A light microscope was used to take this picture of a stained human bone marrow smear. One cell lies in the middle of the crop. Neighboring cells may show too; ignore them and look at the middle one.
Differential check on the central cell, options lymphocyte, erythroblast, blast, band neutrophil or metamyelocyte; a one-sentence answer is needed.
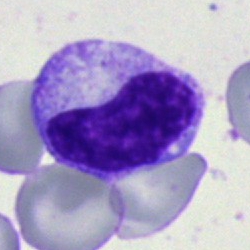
The middle of this crop holds a metamyelocyte.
